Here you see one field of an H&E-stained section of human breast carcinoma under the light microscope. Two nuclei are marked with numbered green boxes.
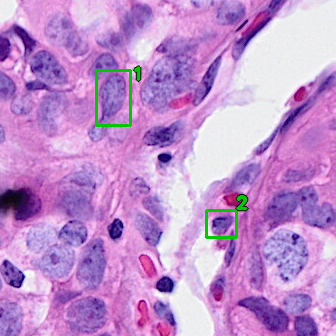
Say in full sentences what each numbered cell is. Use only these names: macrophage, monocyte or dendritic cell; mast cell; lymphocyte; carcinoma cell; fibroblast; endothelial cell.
Cell 1 is a carcinoma cell. Cell 2 is an endothelial cell.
